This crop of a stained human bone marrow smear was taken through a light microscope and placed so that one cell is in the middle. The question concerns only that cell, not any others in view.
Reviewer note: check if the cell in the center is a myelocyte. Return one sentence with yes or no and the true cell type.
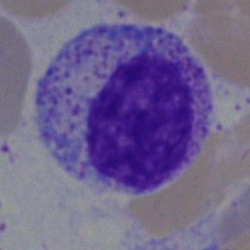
Yes, the cell at the centre is designated a myelocyte.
